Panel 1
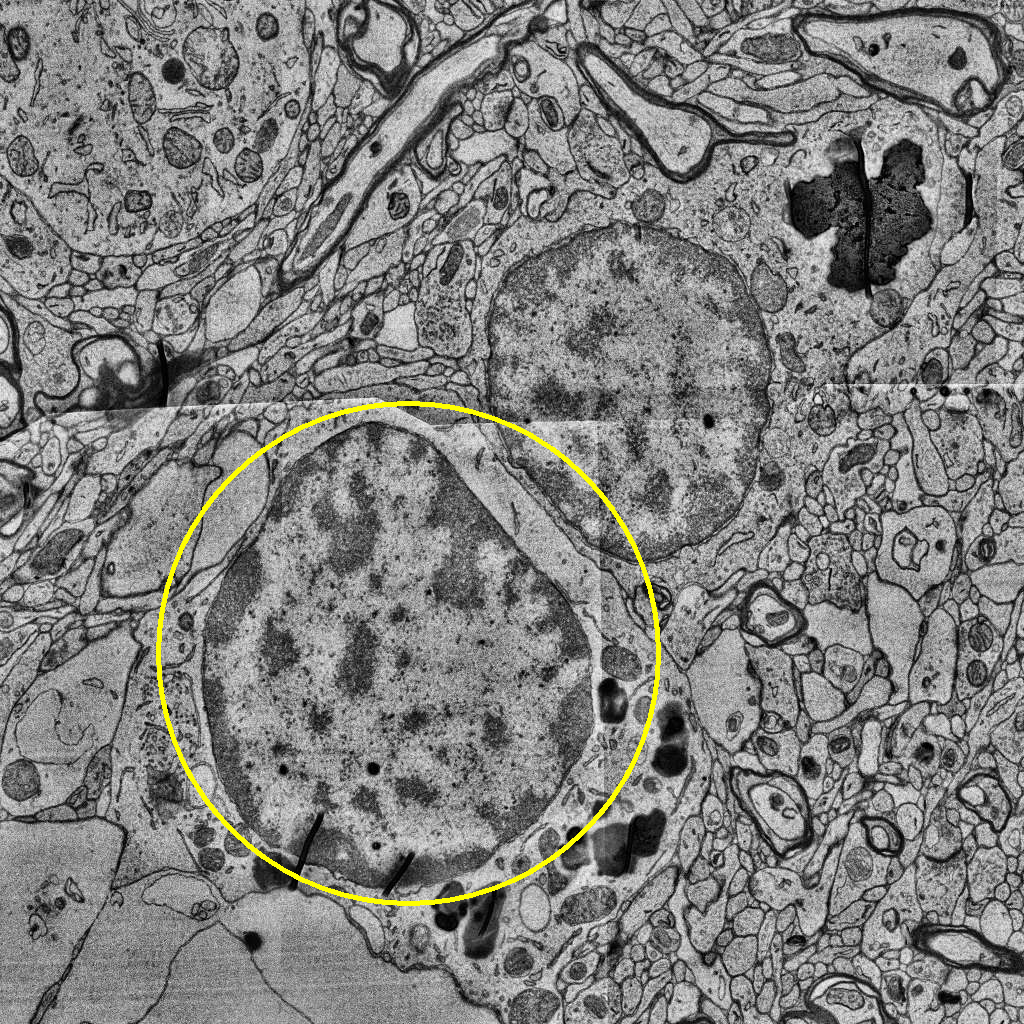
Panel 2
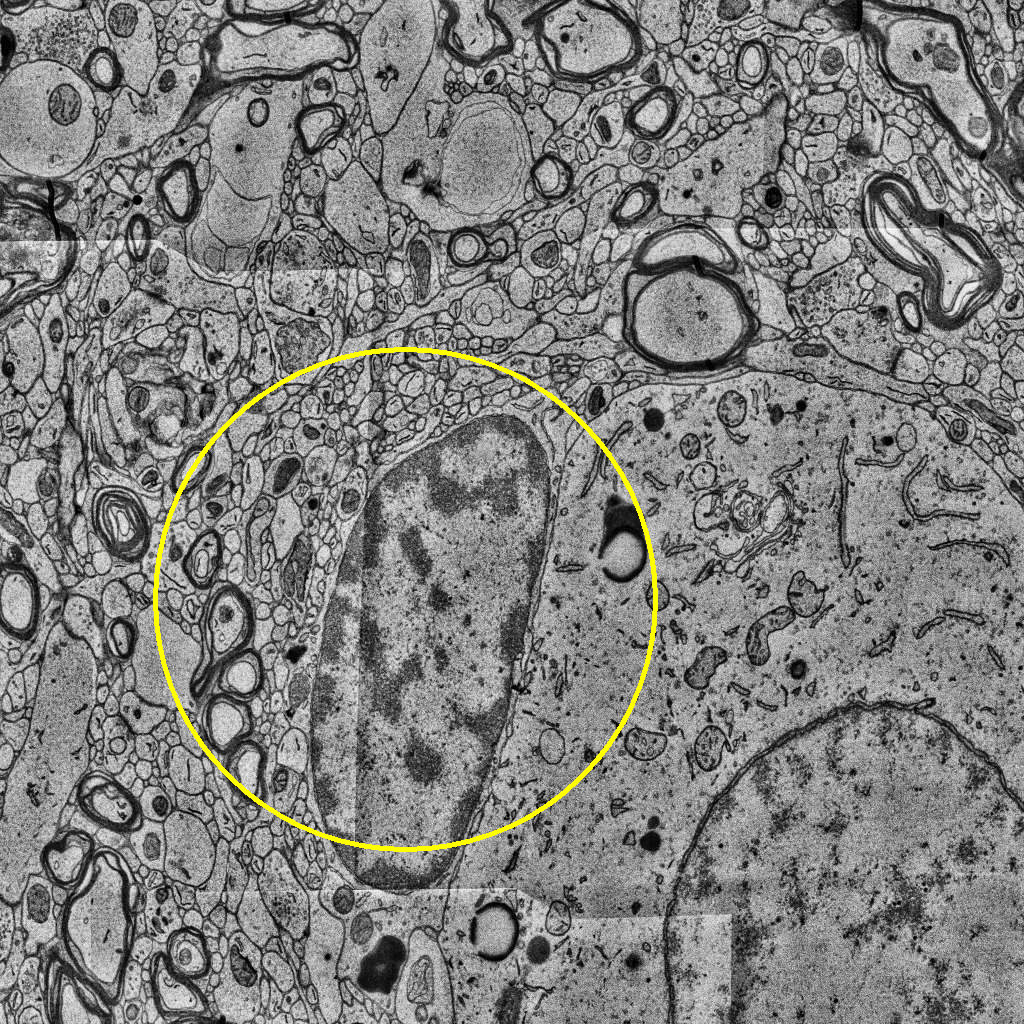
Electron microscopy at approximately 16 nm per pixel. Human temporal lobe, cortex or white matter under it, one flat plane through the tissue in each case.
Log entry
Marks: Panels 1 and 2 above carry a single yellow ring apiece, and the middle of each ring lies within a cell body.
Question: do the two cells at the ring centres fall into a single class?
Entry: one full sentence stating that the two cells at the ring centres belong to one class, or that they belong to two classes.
The two cells at the ring centres in Panels 1 and 2 belong to one class.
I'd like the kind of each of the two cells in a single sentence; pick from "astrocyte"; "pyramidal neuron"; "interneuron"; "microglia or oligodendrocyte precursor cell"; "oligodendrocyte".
Each cell at the centre of a ring is a microglial cell or oligodendrocyte precursor cell.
